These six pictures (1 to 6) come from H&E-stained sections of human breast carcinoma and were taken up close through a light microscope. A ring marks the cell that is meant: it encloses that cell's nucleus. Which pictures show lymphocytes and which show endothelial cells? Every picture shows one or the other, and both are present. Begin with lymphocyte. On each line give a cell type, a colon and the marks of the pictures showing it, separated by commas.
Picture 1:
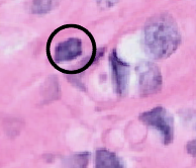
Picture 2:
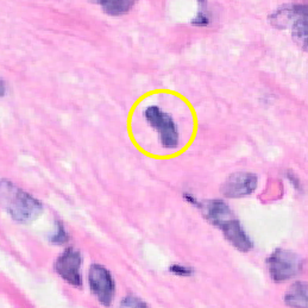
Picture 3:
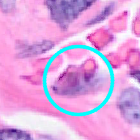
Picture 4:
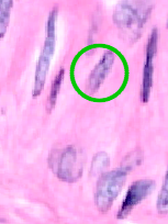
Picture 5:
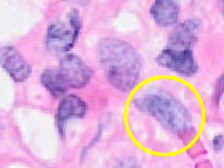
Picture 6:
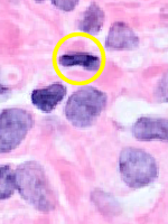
lymphocyte: 1, 2, 6
endothelial cell: 3, 4, 5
